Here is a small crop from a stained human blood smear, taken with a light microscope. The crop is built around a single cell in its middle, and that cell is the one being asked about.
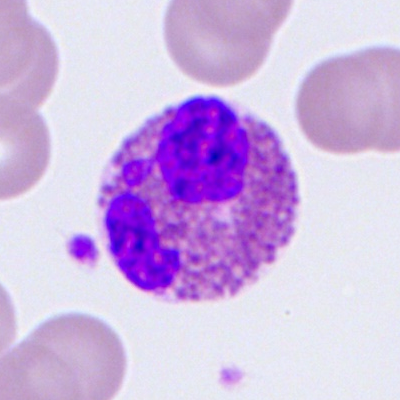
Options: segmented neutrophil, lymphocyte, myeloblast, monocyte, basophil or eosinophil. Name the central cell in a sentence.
The middle of this crop holds an eosinophil.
